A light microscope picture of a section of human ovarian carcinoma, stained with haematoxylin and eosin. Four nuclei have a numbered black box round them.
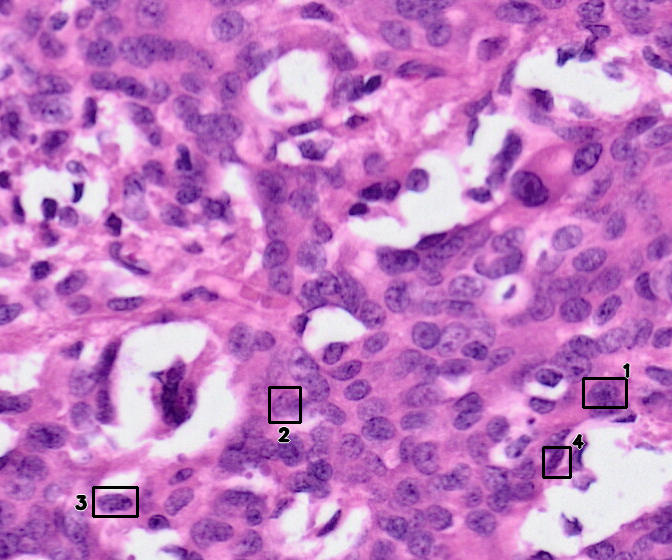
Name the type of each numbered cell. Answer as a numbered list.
1. carcinoma cell
2. carcinoma cell
3. macrophage or monocyte
4. carcinoma cell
